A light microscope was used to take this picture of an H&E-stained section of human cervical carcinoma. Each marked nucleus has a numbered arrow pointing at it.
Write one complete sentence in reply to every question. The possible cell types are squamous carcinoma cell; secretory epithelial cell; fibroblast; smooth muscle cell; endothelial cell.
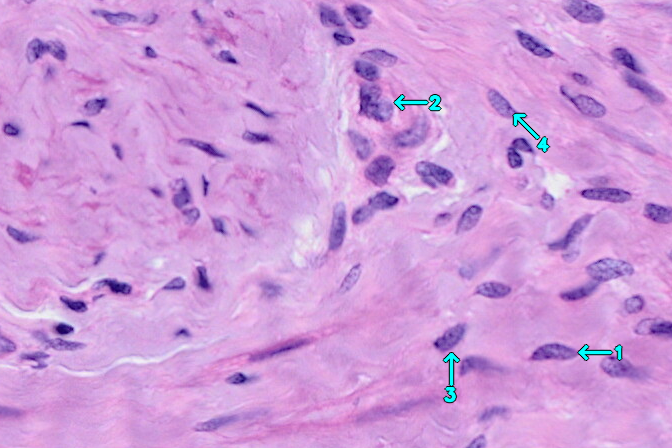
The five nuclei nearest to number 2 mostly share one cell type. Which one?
The majority of the five nuclei closest to number 2 belong to smooth muscle cells.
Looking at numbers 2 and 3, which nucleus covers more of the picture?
It is nucleus 2, which covers about 1.5 times the area of nucleus 3.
